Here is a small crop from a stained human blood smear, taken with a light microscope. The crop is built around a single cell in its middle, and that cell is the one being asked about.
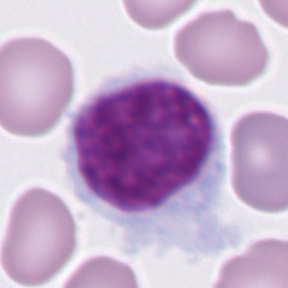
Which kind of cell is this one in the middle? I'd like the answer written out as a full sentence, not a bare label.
The cell of interest, located centrally, is a hairy cell.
